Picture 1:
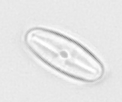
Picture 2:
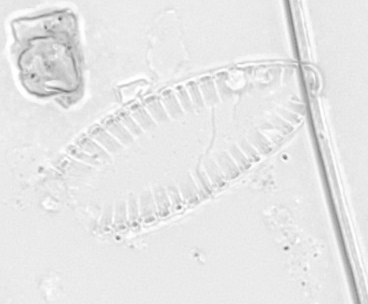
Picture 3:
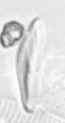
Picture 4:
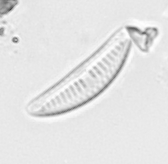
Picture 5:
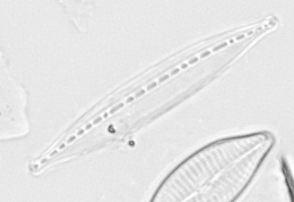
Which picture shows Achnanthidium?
Picture 3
